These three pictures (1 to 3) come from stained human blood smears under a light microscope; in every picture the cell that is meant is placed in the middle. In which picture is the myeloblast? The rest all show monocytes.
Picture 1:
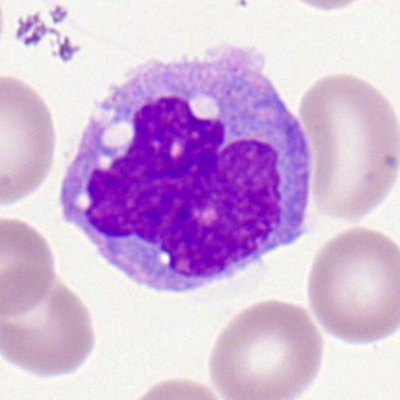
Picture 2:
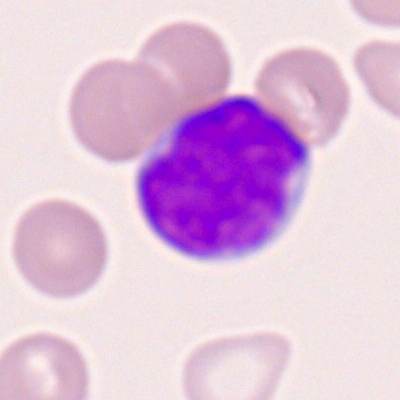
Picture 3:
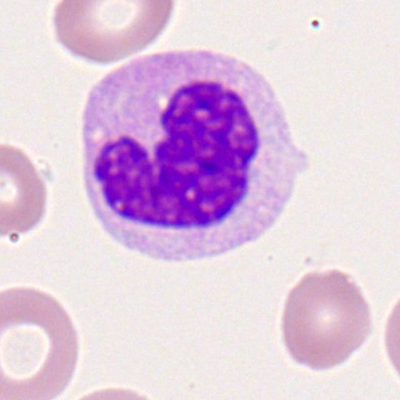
2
